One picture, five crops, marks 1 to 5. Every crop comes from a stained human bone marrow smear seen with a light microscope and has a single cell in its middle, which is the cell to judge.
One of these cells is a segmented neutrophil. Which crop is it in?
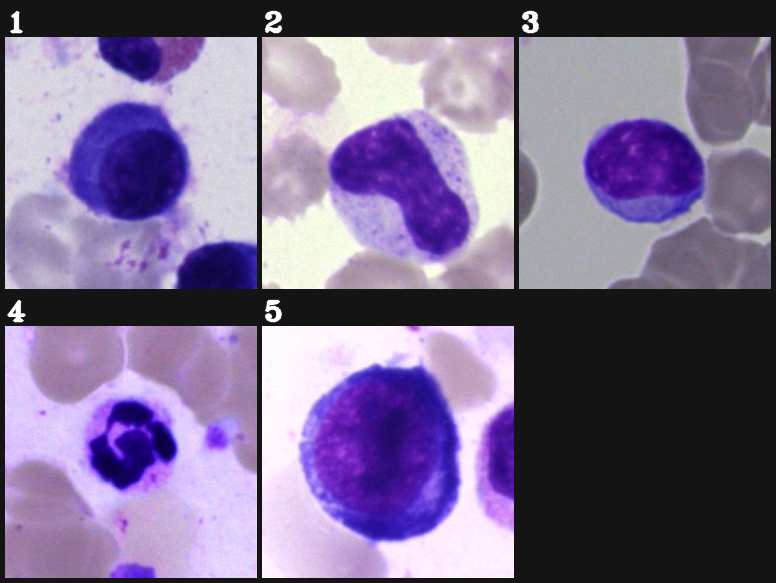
4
